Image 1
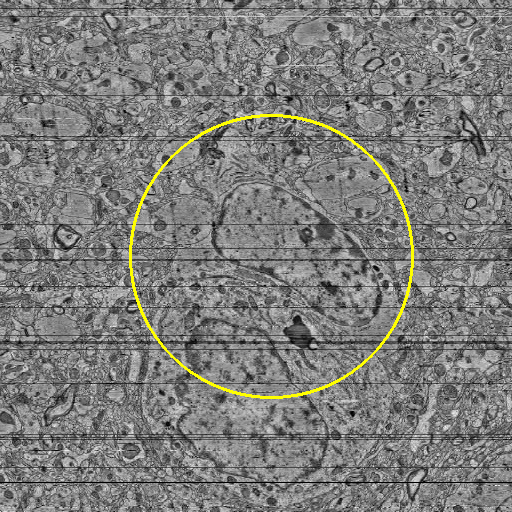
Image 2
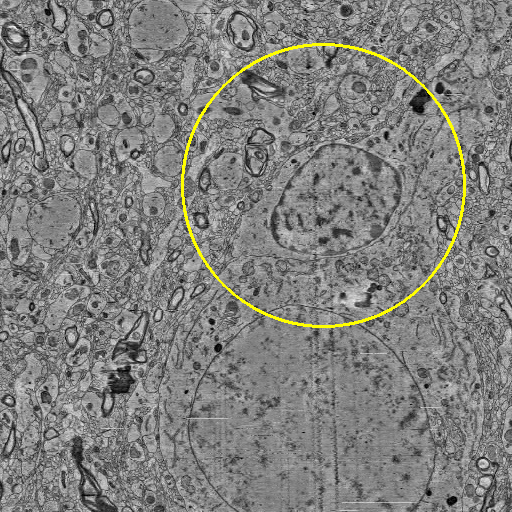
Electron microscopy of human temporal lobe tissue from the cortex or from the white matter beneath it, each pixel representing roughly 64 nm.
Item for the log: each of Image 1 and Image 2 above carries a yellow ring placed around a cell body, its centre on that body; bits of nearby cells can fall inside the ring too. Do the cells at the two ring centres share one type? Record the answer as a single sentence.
Yes, the two cells at the ring centres in Image 1 and Image 2 share one type.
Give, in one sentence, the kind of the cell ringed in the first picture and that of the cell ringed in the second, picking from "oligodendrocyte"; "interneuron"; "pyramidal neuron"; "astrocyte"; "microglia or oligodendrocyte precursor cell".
Both pictures show a microglial cell or oligodendrocyte precursor cell at the centre of the ring.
